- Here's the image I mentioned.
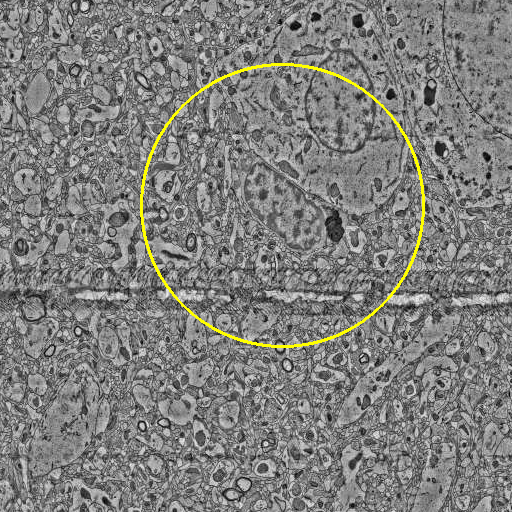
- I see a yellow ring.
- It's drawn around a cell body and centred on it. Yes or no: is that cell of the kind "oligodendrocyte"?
yes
